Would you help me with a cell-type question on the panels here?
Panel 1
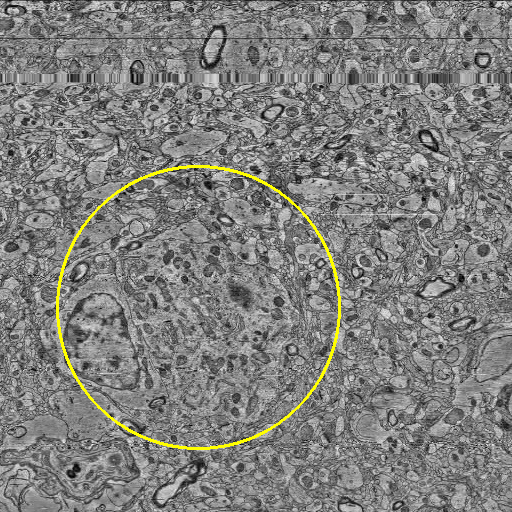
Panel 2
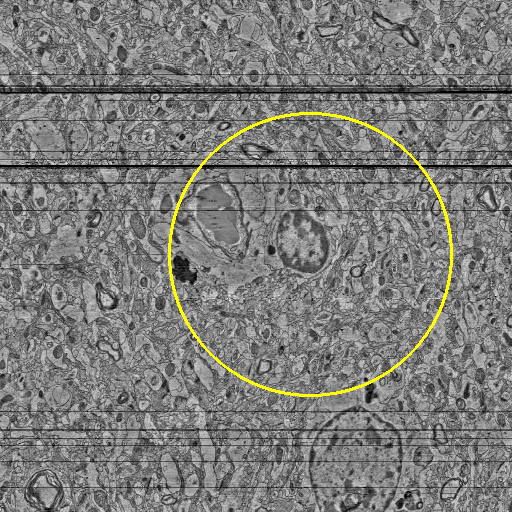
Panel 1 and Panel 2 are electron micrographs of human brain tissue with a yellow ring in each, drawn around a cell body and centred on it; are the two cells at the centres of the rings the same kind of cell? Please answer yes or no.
no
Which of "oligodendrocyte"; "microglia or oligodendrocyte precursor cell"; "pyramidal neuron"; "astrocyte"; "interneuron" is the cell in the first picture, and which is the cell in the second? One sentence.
The two differ: the first cell is an interneuron and the second is a microglial cell or oligodendrocyte precursor cell.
